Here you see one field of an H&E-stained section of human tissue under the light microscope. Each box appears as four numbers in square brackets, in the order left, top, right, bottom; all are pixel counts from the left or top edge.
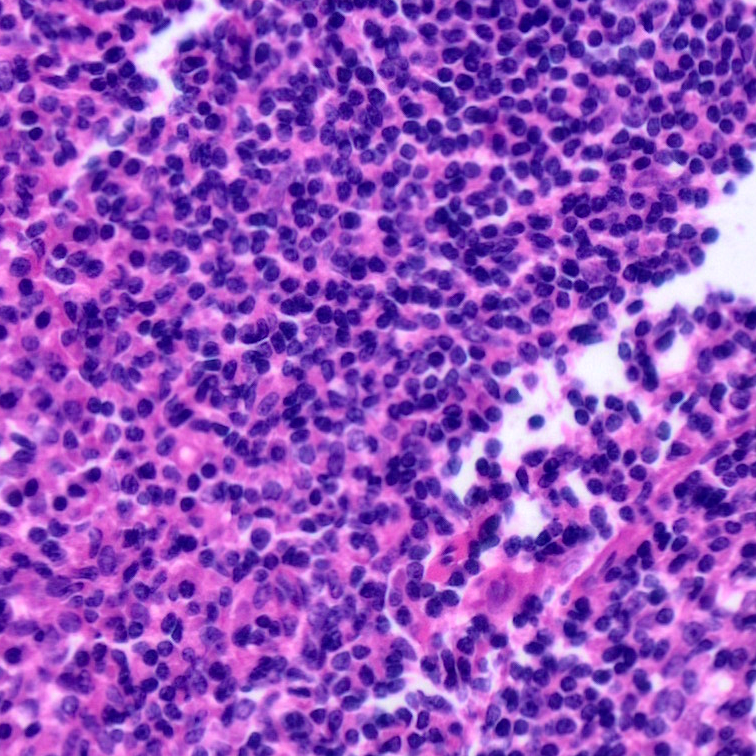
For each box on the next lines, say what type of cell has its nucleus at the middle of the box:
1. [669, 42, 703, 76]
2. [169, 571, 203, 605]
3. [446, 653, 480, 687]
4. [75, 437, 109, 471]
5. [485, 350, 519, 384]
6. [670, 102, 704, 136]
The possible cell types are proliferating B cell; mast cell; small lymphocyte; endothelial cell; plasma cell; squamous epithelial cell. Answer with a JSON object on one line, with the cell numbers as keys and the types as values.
{"1": "small lymphocyte", "2": "plasma cell", "3": "small lymphocyte", "4": "plasma cell", "5": "small lymphocyte", "6": "small lymphocyte"}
